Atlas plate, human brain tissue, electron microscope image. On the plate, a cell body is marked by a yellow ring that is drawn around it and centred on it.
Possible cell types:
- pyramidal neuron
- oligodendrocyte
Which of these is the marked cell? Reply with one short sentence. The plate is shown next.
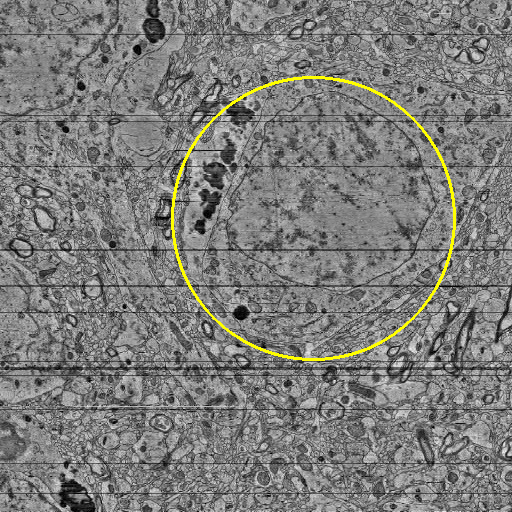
The marked cell is a pyramidal neuron.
